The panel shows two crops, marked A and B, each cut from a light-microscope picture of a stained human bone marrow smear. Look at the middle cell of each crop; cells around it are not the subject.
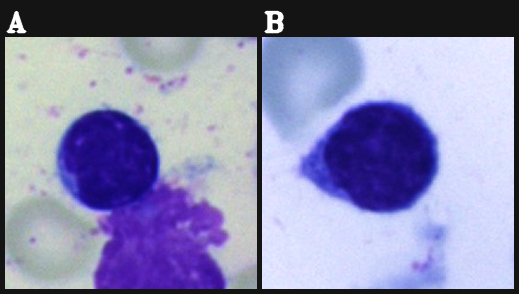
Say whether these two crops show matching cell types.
yes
